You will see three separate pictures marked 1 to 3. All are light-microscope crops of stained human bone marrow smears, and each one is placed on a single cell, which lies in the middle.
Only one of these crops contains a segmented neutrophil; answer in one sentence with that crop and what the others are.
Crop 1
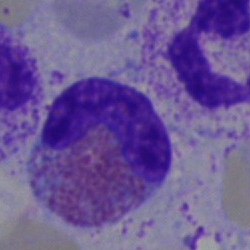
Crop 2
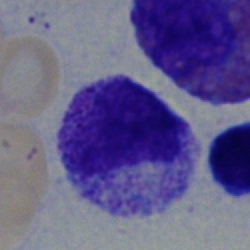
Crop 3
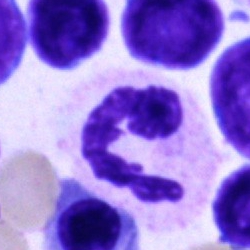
Crop 3 goes down as a segmented neutrophil, while crop 1 is an eosinophil and crop 2 is a myelocyte.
